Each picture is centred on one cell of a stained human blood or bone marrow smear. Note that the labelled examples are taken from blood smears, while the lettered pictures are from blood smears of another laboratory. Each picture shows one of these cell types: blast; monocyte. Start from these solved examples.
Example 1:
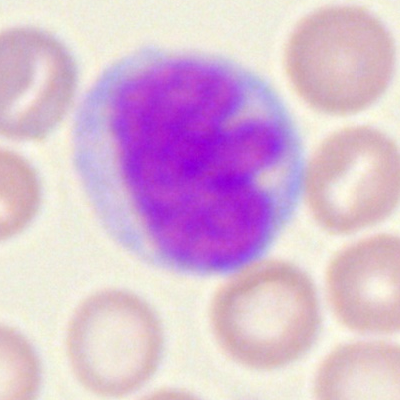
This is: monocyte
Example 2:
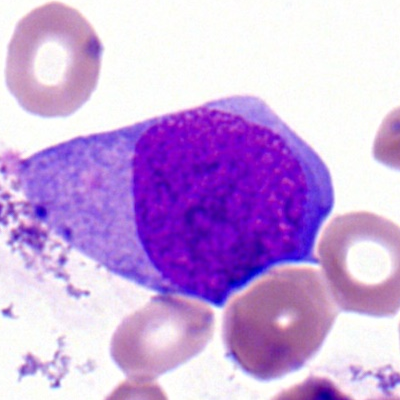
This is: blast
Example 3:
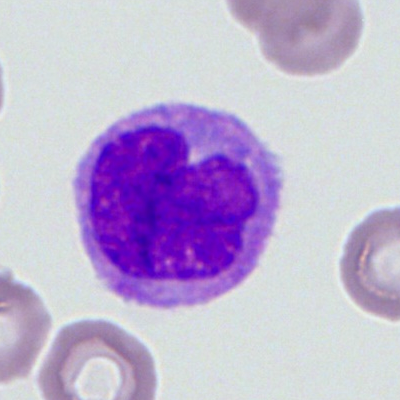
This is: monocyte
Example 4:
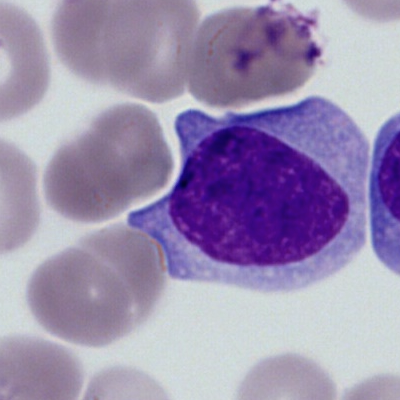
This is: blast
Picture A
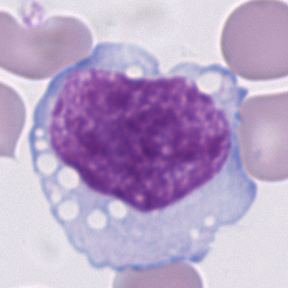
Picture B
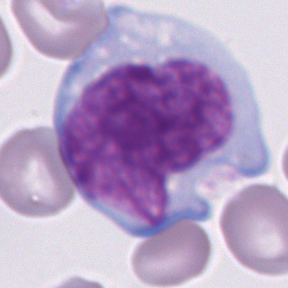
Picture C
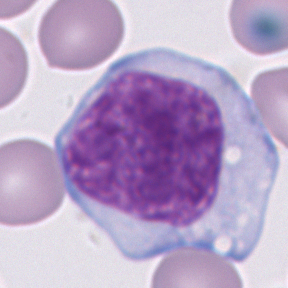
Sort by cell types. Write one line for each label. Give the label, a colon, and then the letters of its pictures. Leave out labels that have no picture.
blast: A, B, C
